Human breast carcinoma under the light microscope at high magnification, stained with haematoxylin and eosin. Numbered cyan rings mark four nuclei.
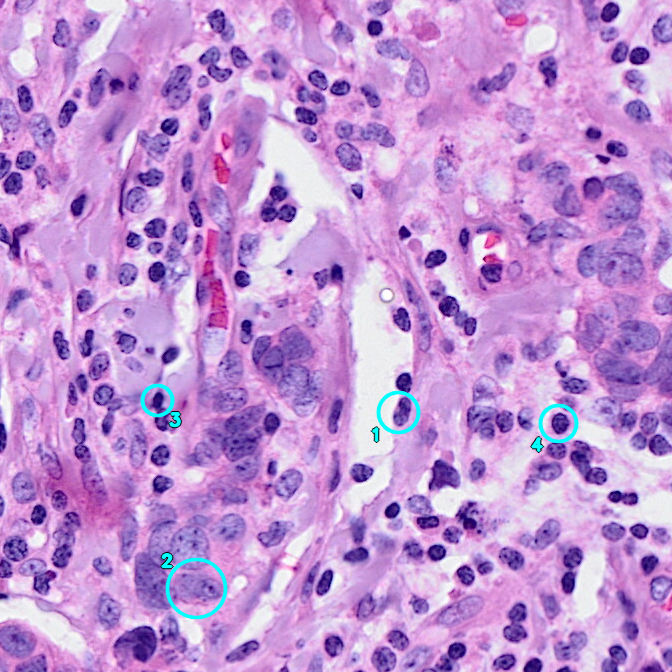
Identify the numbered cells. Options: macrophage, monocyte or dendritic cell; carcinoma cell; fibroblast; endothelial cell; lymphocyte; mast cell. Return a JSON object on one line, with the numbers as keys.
{"1": "lymphocyte", "2": "carcinoma cell", "3": "lymphocyte", "4": "lymphocyte"}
